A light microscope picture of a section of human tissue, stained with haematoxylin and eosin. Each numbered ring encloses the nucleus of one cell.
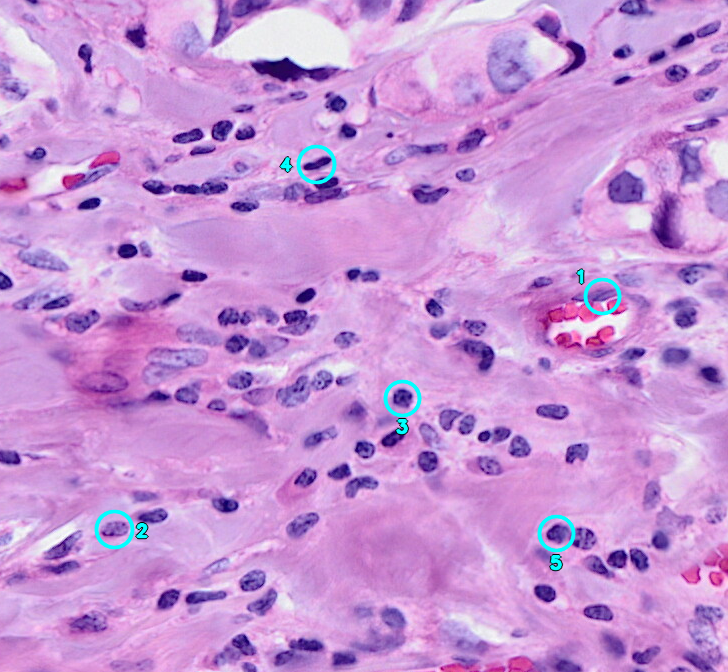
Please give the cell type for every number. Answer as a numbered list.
1. endothelial cell
2. mast cell
3. lymphocyte
4. lymphocyte
5. lymphocyte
